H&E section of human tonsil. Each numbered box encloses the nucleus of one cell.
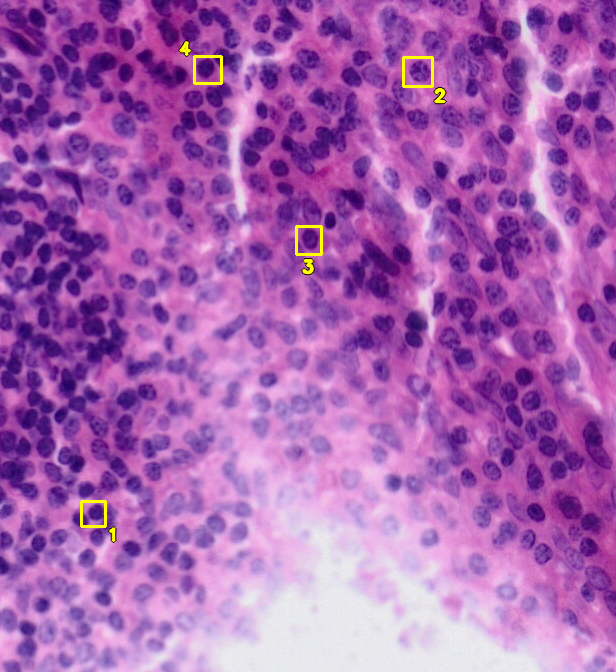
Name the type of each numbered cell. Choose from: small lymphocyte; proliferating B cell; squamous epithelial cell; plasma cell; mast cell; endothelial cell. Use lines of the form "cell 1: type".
cell 1: small lymphocyte
cell 2: plasma cell
cell 3: plasma cell
cell 4: plasma cell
